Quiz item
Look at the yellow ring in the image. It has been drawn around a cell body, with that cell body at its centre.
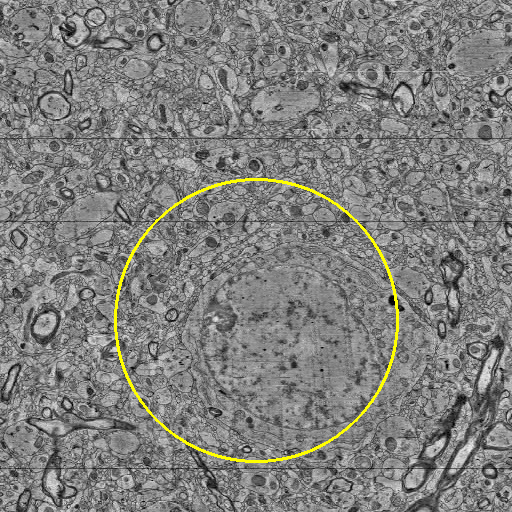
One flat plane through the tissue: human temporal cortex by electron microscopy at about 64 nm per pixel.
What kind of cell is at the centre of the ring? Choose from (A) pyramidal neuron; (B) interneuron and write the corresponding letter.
B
